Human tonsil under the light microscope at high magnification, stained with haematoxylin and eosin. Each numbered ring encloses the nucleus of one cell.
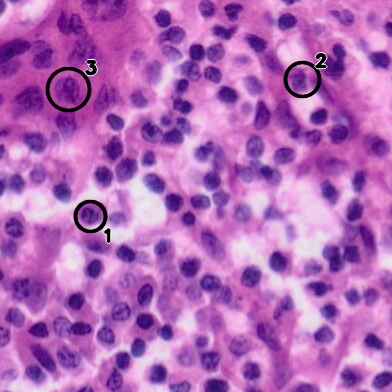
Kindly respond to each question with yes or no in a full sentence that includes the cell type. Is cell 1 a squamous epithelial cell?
No, cell 1 is not a squamous epithelial cell; a plasma cell is correct.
